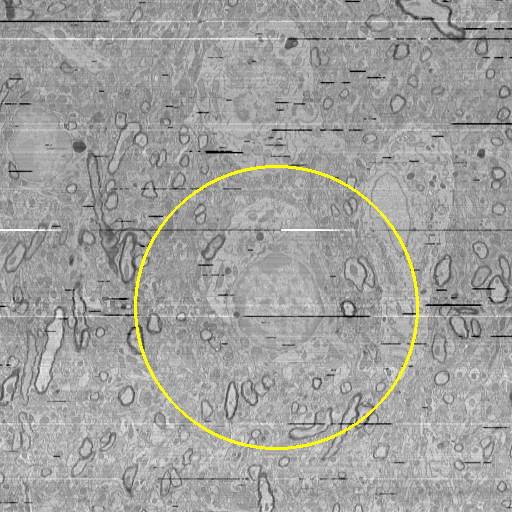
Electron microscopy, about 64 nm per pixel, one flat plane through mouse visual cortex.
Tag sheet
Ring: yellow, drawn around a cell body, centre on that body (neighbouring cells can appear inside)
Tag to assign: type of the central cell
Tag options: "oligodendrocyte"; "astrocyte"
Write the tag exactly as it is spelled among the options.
oligodendrocyte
